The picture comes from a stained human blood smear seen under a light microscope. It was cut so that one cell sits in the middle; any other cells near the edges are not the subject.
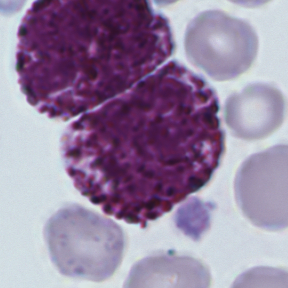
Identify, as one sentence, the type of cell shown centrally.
The cell around which this crop is centred is a basophil.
